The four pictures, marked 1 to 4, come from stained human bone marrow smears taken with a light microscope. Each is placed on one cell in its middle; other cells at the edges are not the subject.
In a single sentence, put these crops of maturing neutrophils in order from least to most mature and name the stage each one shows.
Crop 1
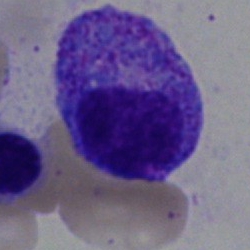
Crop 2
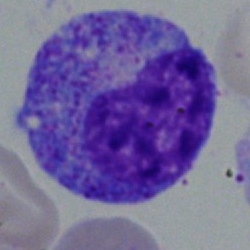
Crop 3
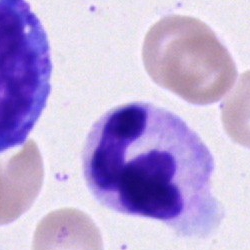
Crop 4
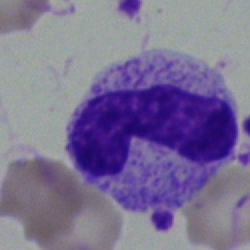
In terms of maturity, from lowest to highest, the order reads crop 1 (a promyelocyte), crop 2 (a metamyelocyte), crop 4 (a band neutrophil) and crop 3 (a segmented neutrophil).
